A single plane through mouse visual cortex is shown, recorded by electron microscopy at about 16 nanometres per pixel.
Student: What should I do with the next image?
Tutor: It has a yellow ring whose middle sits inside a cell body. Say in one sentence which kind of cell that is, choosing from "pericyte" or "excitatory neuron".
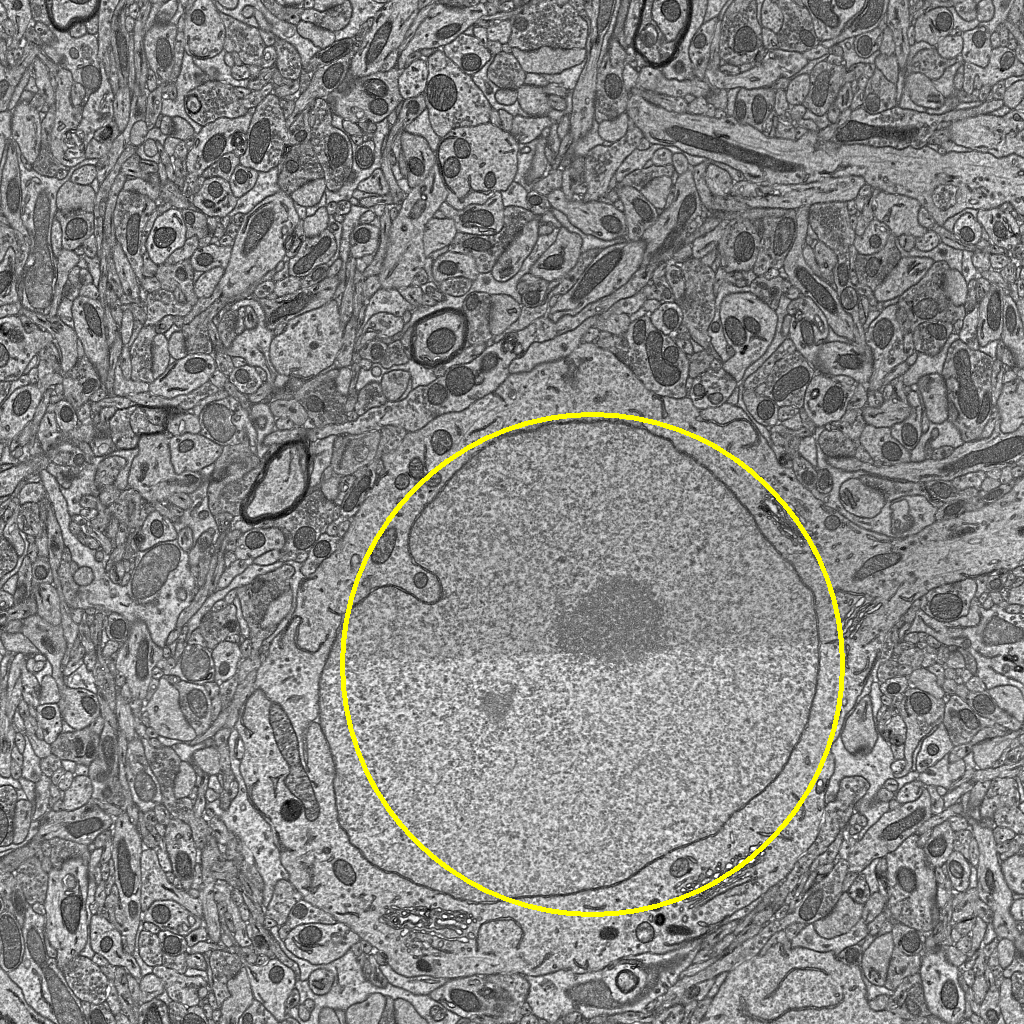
The ring's centre is occupied by an excitatory neuron.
